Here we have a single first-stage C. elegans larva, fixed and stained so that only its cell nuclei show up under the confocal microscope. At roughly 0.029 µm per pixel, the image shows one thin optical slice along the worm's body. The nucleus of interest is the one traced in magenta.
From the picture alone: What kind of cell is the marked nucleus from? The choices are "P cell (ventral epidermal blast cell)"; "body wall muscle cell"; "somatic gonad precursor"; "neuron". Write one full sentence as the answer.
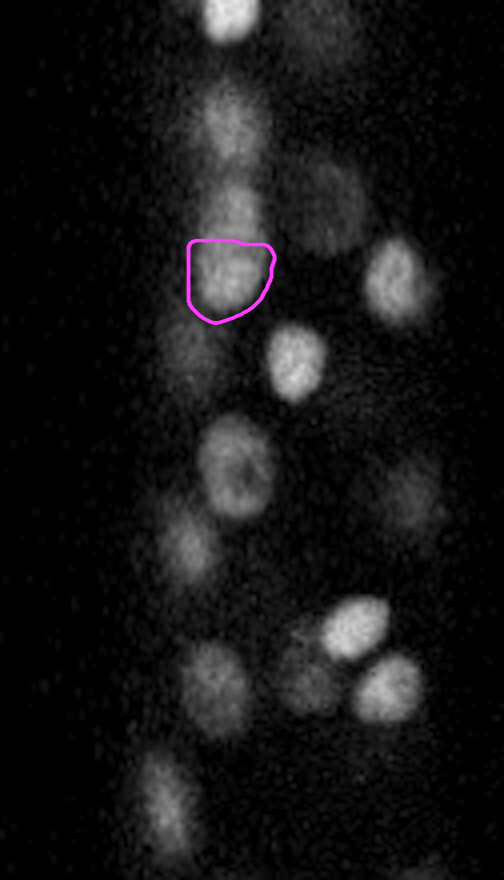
The cell with the marked nucleus is a P cell (ventral epidermal blast cell).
